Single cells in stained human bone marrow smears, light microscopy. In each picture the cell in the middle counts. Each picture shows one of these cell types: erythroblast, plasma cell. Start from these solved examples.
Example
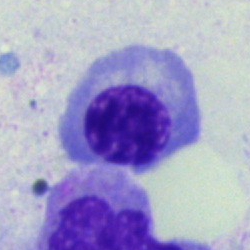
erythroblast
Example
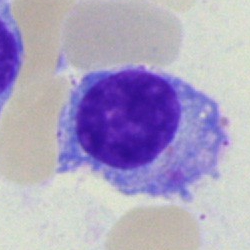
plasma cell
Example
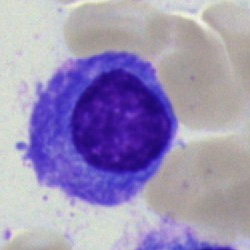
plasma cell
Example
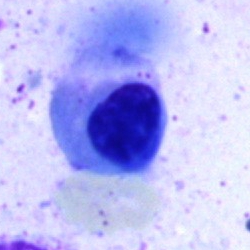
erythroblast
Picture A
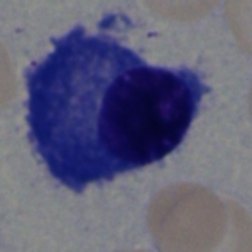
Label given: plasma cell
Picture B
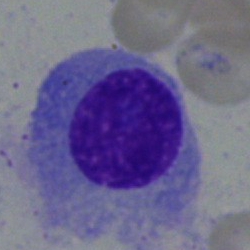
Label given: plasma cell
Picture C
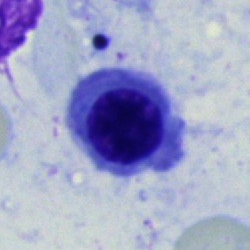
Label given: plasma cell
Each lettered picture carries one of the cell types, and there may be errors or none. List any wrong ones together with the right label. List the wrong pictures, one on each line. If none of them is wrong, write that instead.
C: erythroblast, not plasma cell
